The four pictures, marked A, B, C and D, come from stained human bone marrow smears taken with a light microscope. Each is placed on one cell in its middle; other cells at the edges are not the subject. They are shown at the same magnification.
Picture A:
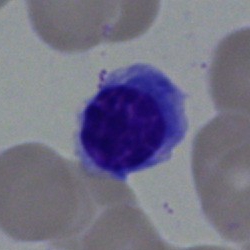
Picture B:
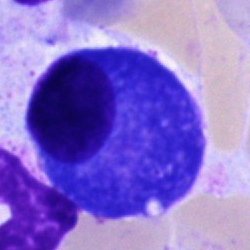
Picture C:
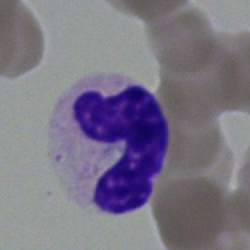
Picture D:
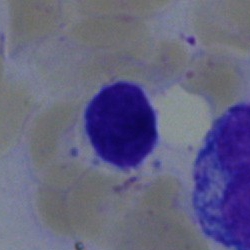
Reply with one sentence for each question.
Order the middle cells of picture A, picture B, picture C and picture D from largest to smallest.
From the largest down, the order is B, C, A, D.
